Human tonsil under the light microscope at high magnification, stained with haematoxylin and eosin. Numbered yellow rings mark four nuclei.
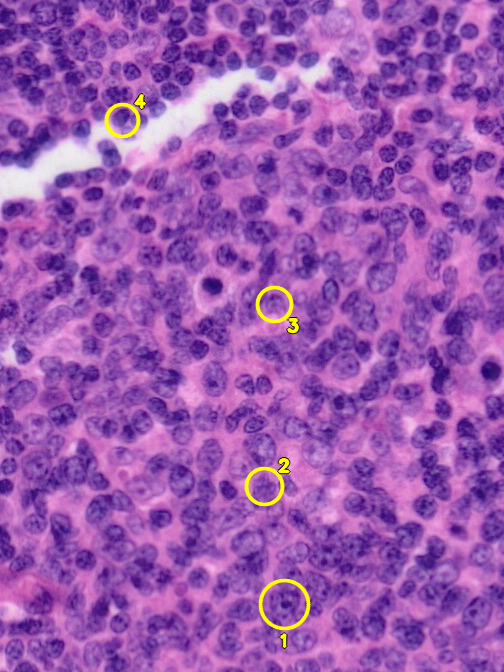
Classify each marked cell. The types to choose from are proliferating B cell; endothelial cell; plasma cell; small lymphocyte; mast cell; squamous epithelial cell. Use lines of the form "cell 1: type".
cell 1: proliferating B cell
cell 2: proliferating B cell
cell 3: proliferating B cell
cell 4: small lymphocyte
